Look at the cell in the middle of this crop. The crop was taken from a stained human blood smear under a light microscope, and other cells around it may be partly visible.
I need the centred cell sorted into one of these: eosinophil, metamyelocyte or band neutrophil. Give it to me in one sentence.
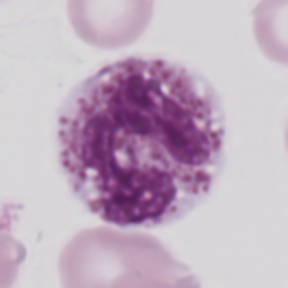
This crop's central cell is an eosinophil.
